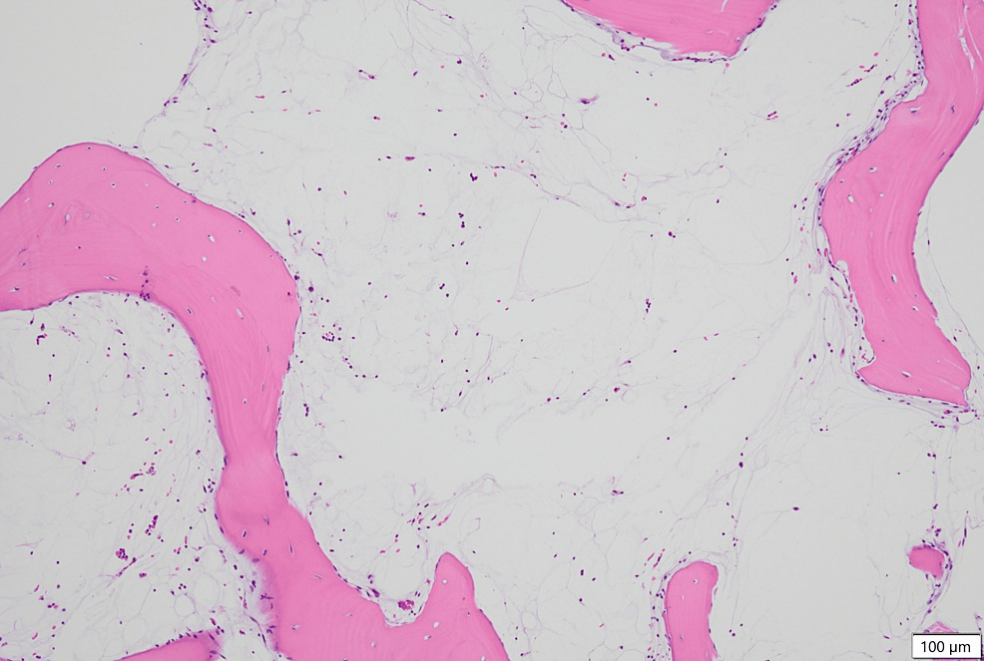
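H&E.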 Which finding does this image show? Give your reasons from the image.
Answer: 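The marrow spaces contain thin, wispy, irregular pale membranes instead of crisp round empty fat vacuoles. The outlines in the marrow space are collapsed and angular rather than polygonal and evenly sized.
Conclusion: adipocytes that have lost their shape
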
